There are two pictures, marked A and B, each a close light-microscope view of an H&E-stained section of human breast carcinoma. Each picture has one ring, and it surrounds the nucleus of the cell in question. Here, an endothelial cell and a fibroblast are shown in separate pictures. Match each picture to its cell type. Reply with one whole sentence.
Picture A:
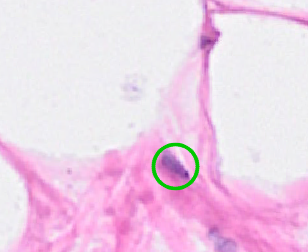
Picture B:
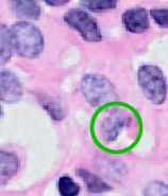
In picture A the cell is a fibroblast; in picture B, an endothelial cell.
